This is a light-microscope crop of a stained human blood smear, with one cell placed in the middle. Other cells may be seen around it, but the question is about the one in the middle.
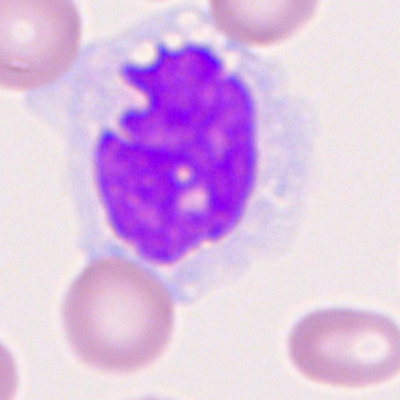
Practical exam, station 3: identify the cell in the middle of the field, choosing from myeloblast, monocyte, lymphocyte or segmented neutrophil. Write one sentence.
This crop's central cell is a monocyte.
